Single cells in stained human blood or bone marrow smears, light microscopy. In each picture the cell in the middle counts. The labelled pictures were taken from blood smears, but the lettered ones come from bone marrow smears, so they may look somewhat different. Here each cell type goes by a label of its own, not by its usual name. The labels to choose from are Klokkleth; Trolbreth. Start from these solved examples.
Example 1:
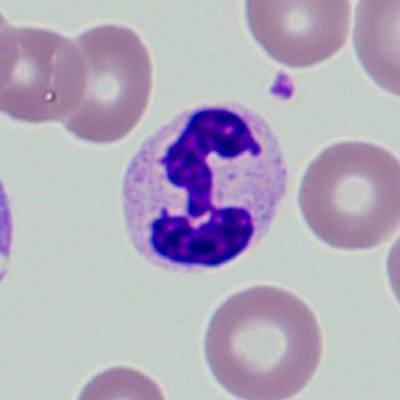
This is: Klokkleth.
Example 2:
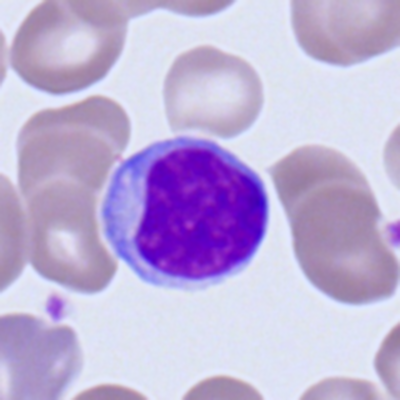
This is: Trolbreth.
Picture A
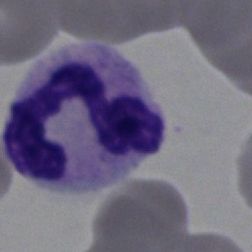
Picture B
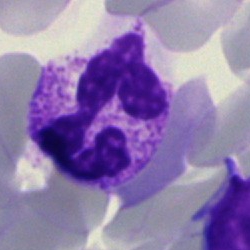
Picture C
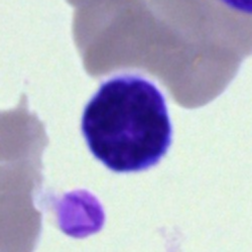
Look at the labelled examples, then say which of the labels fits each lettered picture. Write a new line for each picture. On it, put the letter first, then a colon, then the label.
A: Klokkleth.
B: Klokkleth.
C: Trolbreth.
